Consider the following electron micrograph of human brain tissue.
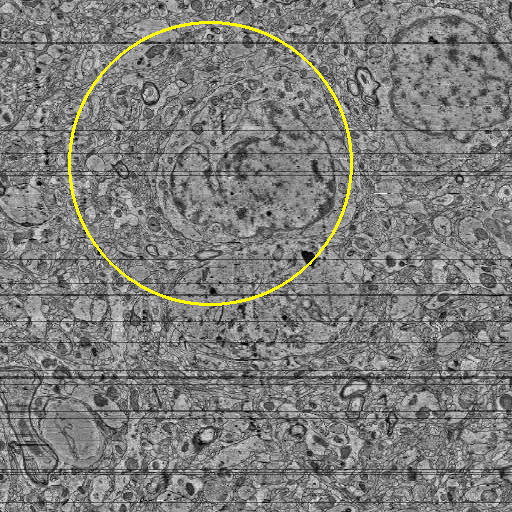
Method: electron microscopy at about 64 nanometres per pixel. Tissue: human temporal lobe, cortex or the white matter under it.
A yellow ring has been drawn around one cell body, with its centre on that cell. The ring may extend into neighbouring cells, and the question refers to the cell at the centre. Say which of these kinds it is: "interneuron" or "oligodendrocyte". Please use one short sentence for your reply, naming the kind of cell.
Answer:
The centre of the ring falls on an interneuron.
